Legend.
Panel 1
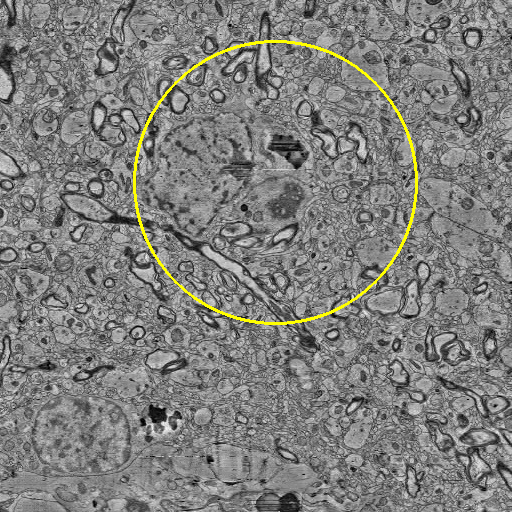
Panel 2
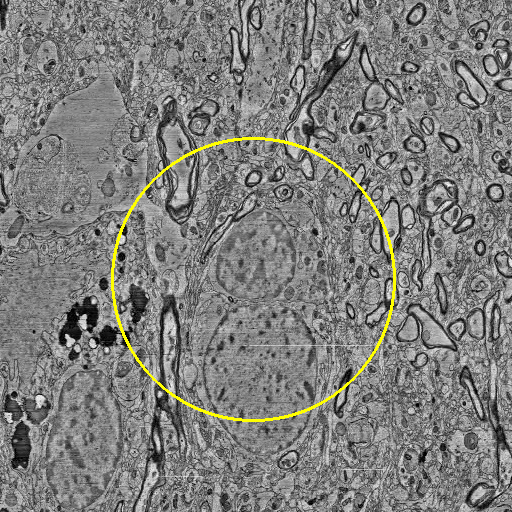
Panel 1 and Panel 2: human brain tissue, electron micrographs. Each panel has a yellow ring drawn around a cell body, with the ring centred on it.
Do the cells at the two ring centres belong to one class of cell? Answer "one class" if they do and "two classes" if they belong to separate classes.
one class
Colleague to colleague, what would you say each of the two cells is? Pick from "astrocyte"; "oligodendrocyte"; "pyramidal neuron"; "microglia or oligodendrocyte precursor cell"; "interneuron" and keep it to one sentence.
In both pictures the ring is centred on an oligodendrocyte.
